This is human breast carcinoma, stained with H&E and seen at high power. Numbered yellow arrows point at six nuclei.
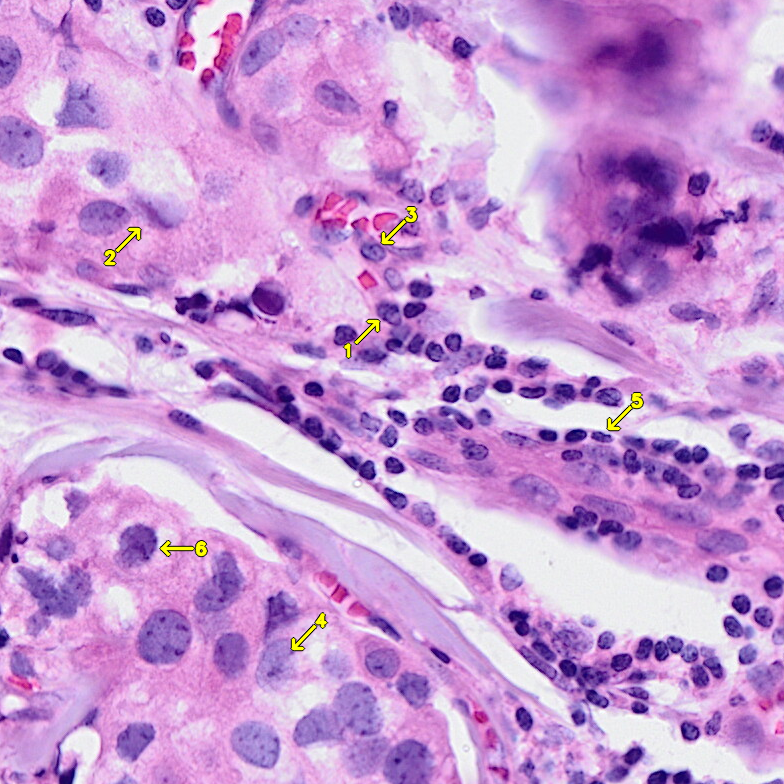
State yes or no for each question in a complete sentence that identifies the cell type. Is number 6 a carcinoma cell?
Yes, the cell at the mark numbered 6 is a carcinoma cell.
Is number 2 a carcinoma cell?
Yes, the cell numbered 2 in this tissue is a carcinoma cell.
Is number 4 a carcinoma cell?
Yes, exactly, the cell numbered 4 is a carcinoma cell.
